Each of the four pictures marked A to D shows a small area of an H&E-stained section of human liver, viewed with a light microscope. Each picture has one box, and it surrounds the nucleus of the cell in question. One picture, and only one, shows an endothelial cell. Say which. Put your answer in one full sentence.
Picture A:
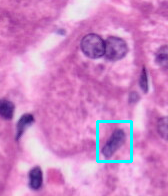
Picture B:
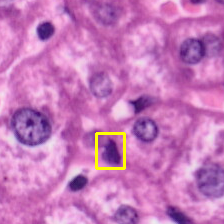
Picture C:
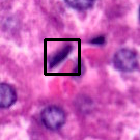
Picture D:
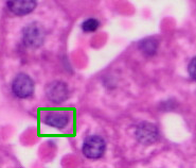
The endothelial cell is the one in picture C.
